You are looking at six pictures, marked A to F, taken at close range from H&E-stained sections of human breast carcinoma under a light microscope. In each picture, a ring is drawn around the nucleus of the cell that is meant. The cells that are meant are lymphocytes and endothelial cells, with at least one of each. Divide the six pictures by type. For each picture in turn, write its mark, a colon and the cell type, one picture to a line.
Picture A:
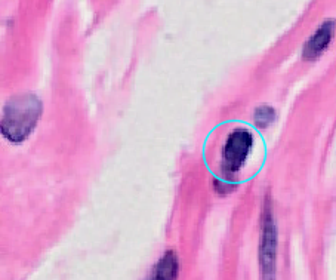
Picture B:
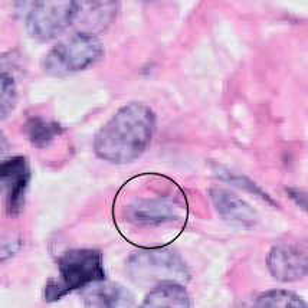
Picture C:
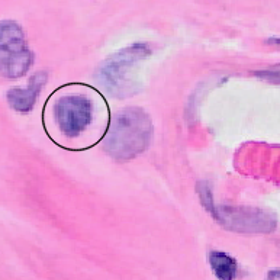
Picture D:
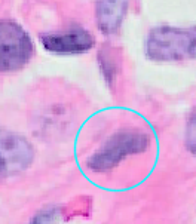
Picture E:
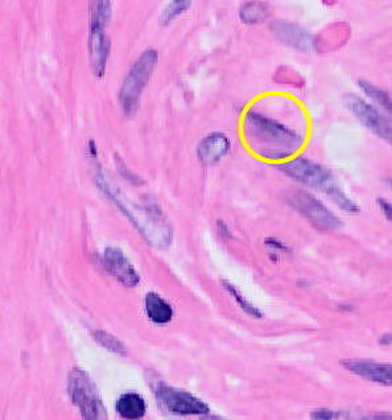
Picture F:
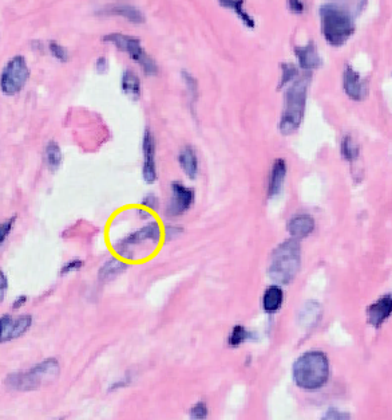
A: lymphocyte
B: endothelial cell
C: lymphocyte
D: endothelial cell
E: endothelial cell
F: endothelial cell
